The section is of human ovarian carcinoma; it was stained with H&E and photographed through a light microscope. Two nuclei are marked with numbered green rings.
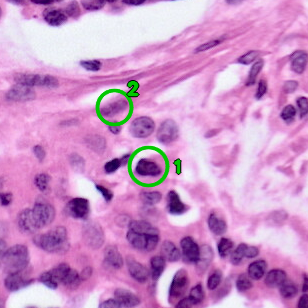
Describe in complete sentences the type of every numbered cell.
Cell 1 is a carcinoma cell and cell 2 is a fibroblast.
